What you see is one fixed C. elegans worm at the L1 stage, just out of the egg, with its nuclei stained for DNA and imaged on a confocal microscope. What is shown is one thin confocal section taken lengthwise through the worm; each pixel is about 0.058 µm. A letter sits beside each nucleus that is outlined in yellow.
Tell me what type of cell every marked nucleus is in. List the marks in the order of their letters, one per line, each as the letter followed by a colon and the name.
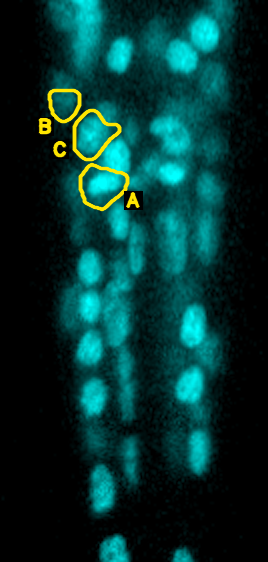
A: pharyngeal muscle cell
B: hypodermal cell (hyp)
C: pharyngeal muscle cell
